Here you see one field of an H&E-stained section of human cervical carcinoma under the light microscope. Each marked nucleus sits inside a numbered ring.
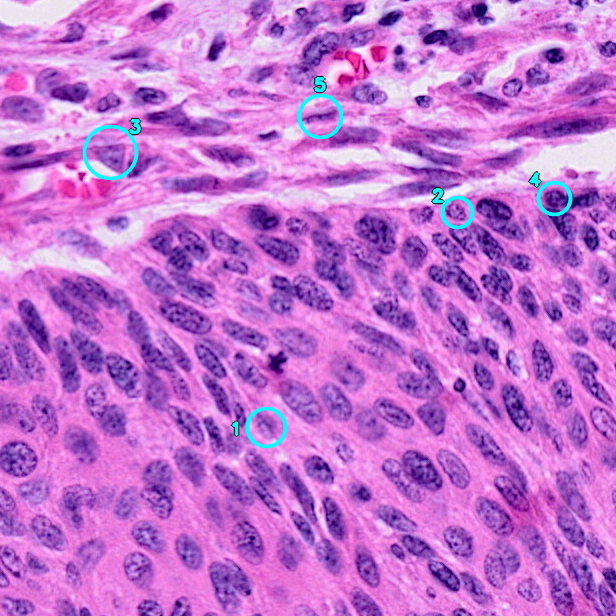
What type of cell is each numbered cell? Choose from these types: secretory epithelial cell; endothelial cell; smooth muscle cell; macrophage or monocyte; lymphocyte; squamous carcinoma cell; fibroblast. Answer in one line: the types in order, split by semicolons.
squamous carcinoma cell; squamous carcinoma cell; endothelial cell; squamous carcinoma cell; fibroblast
